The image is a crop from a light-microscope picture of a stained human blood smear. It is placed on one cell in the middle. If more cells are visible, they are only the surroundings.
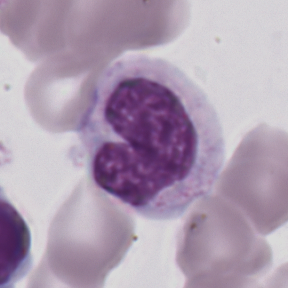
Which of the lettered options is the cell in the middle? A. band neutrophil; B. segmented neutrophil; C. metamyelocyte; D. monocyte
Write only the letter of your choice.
A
